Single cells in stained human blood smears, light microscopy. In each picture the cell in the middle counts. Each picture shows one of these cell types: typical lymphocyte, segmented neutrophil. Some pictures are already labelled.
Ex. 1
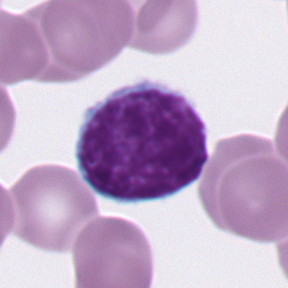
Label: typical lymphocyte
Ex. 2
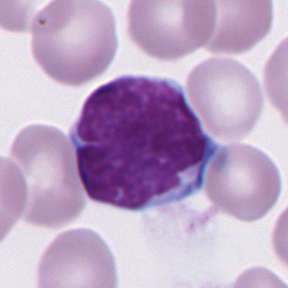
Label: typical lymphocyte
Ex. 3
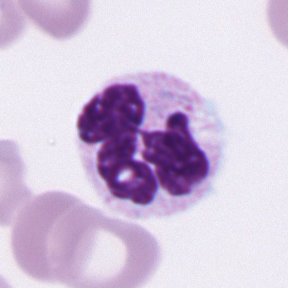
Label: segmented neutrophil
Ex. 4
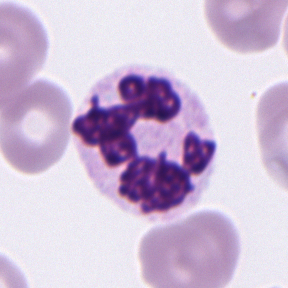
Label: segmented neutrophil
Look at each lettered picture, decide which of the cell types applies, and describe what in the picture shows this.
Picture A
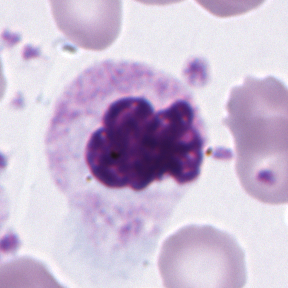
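segmented neutrophil. The cytoplasm is abundant and pale lilac-grey.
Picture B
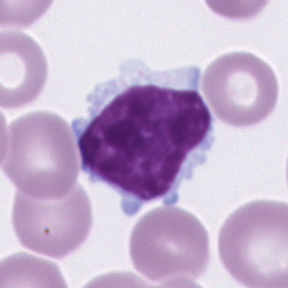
typical lymphocyte. The cytoplasm forms only a scant rim around the nucleus.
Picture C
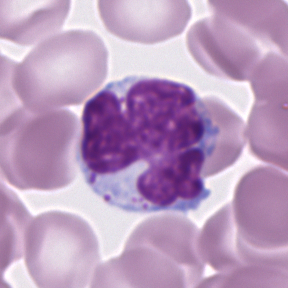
typical lymphocyte. The nucleus fills most of the cell.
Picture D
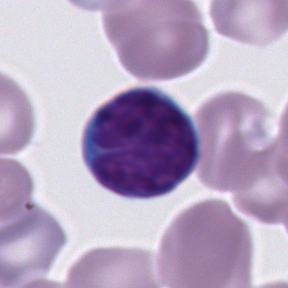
typical lymphocyte. The cytoplasm forms only a thin rim around the nucleus.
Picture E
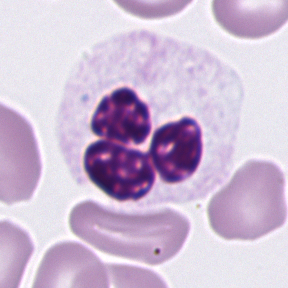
segmented neutrophil. The cytoplasm is abundant and pale pinkish-lilac.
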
